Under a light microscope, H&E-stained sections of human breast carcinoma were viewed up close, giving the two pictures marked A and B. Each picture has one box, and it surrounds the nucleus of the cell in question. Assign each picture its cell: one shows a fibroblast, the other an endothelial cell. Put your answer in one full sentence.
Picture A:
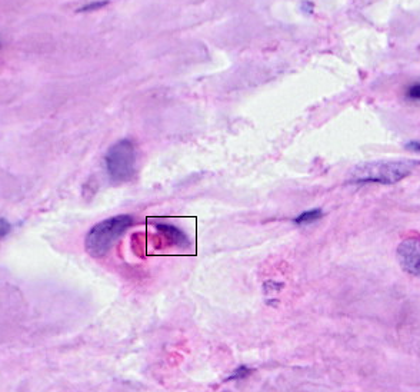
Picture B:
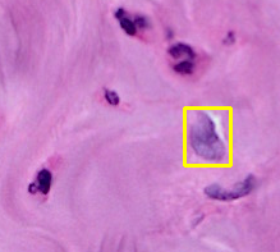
Picture A is of an endothelial cell, and picture B is of a fibroblast.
